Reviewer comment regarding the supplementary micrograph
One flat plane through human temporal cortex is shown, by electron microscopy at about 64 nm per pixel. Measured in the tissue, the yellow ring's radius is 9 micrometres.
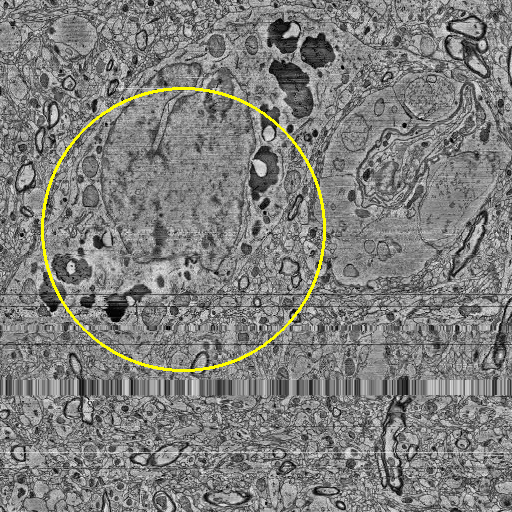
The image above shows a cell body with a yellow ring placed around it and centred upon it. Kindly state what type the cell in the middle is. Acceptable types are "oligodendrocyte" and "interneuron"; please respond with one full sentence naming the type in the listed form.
In the image above, the cell on which the yellow ring is centred is an interneuron.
